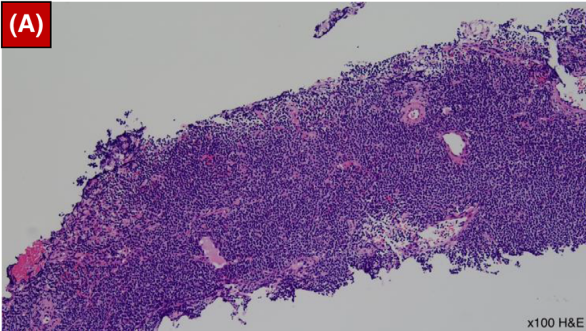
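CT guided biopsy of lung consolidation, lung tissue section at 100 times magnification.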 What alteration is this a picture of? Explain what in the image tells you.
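The core is filled by a dense, uniform sheet of small dark round cells. Normal lung architecture is not recognisable.
Answer: sheets of atypical lymphoid cells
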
